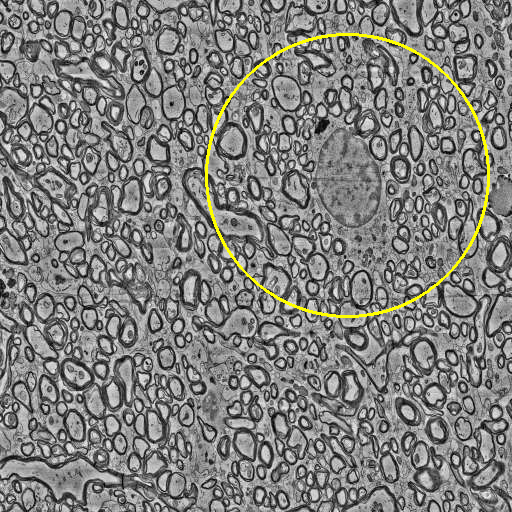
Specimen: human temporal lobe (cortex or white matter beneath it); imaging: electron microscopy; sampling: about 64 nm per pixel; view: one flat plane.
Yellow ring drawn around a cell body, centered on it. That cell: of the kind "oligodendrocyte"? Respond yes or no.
yes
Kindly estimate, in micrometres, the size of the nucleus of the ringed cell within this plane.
Roughly 6 micrometres by 4 micrometres, in this plane.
